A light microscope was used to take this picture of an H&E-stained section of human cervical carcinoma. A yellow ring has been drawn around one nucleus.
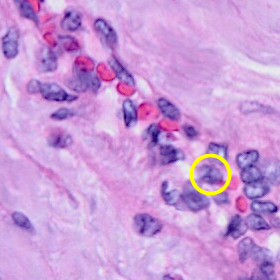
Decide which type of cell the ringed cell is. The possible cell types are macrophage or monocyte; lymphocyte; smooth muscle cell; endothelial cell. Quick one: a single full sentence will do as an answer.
By its classification, the ringed cell is an endothelial cell.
